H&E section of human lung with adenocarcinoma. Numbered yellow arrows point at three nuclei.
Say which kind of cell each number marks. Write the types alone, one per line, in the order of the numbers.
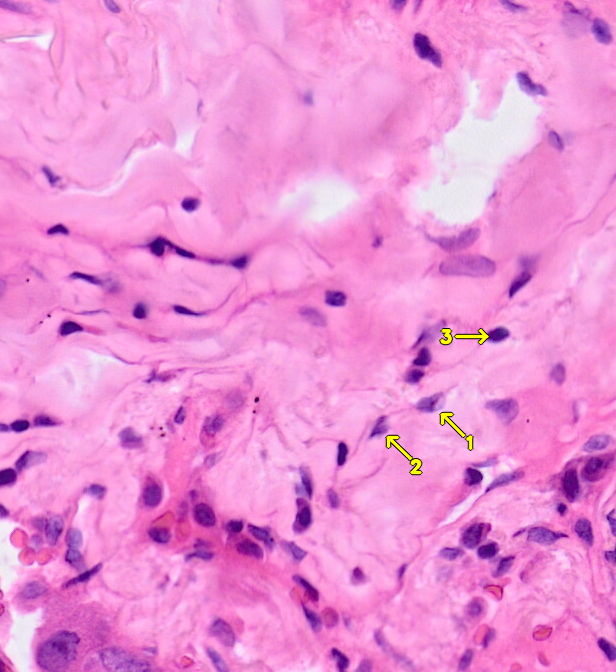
fibroblast
fibroblast
lymphocyte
